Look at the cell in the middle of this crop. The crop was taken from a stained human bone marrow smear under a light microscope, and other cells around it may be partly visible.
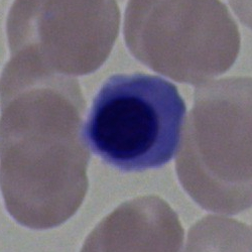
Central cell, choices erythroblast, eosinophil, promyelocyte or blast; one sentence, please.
The cell sitting right in the middle is an erythroblast.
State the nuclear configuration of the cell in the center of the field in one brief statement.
The cell carries one compact nucleus shaped round, oval or like a kidney.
